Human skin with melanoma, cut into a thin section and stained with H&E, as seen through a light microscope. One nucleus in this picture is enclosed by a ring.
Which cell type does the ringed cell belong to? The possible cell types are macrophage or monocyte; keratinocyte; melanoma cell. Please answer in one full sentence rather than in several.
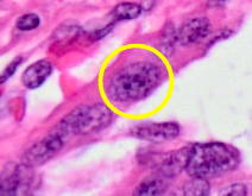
Microscopically, the ringed cell is categorized as a melanoma cell.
